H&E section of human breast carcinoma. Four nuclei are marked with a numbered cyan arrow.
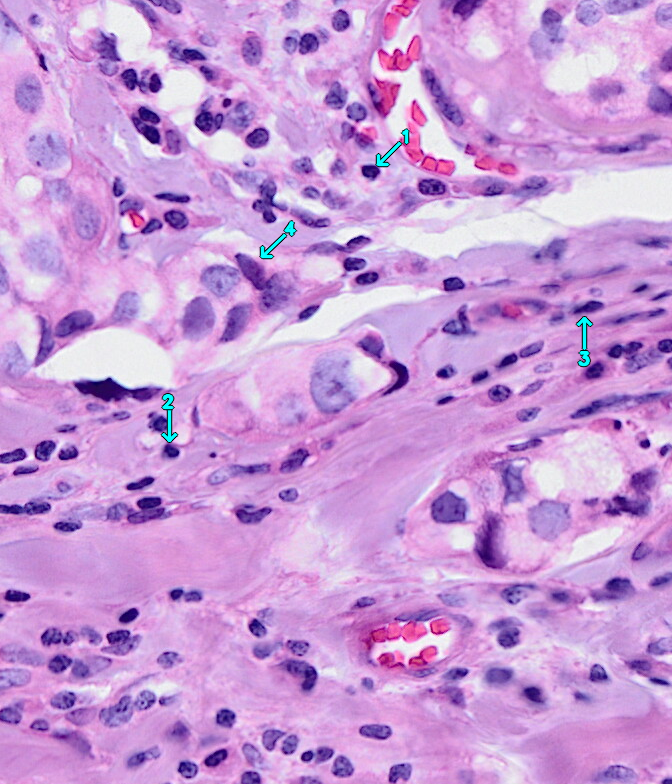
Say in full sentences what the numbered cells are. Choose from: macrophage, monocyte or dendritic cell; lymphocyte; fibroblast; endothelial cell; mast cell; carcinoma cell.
Cell 1 is a lymphocyte, cell 2 is a lymphocyte, cell 3 is a lymphocyte and cell 4 is a carcinoma cell.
